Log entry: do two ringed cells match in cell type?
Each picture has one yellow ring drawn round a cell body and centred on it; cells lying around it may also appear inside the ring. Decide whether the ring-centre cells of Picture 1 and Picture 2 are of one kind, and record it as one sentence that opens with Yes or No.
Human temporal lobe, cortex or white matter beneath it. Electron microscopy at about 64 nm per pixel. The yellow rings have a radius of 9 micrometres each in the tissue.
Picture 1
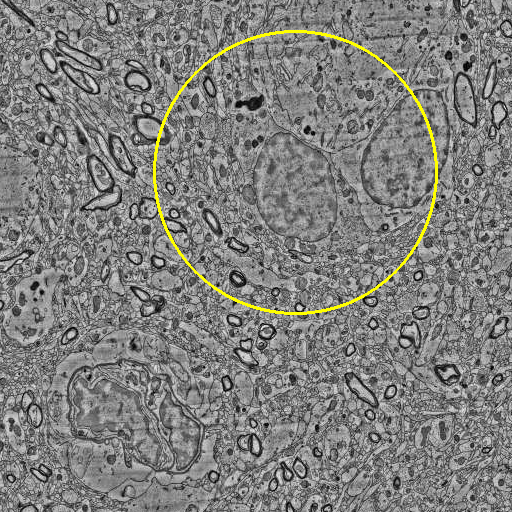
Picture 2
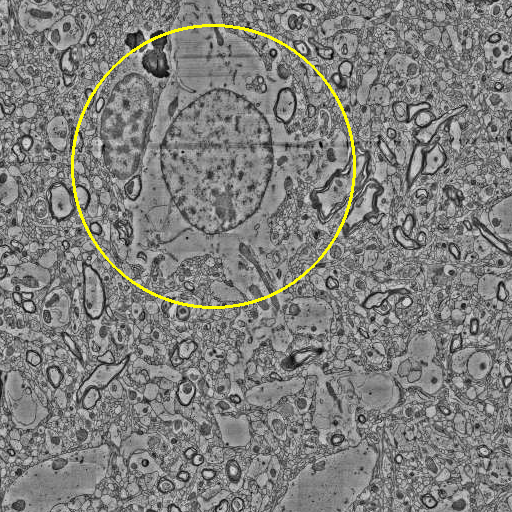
No, the cells at the ring centres of the two pictures belong to two kinds.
